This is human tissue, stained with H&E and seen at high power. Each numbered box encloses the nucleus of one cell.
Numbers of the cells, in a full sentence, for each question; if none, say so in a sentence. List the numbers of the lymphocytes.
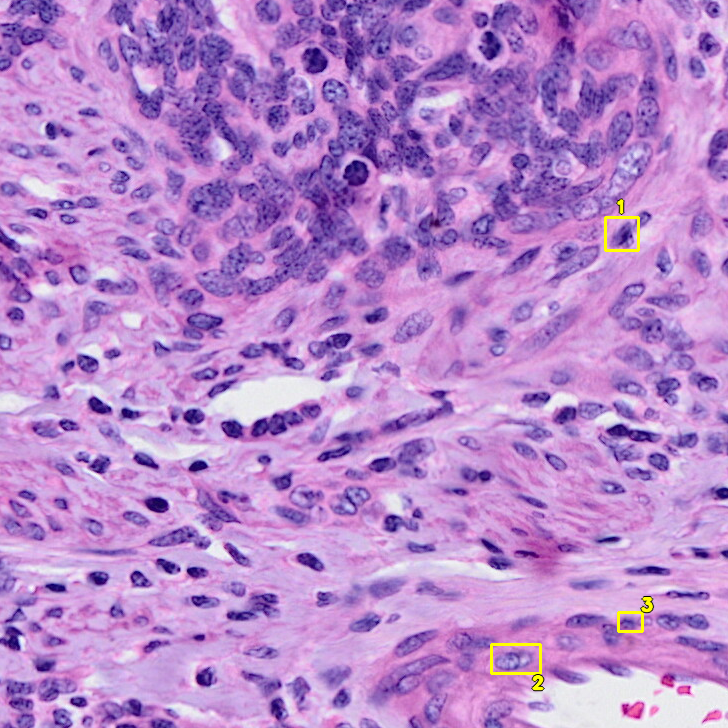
Among the marked cells, a lymphocyte is found only at number 1.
